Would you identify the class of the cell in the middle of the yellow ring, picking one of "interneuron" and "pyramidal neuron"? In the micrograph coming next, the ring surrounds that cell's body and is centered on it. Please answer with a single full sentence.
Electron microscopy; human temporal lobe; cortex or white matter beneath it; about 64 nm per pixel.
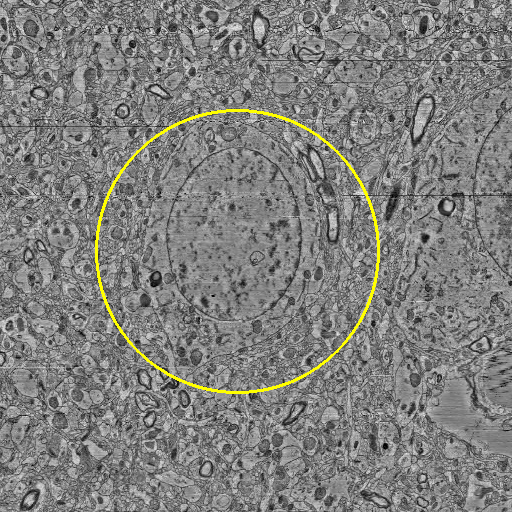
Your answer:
In the micrograph, it is a pyramidal neuron whose body lies at the ring's center.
